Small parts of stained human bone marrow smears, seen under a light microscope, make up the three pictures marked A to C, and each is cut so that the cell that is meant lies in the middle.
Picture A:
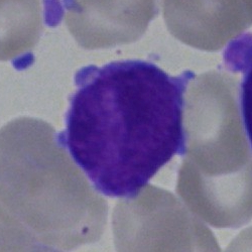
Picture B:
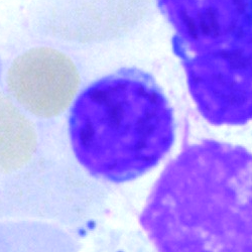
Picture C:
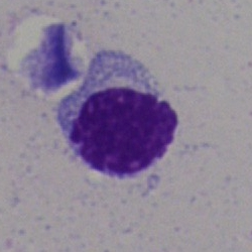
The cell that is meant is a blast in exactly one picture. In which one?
A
